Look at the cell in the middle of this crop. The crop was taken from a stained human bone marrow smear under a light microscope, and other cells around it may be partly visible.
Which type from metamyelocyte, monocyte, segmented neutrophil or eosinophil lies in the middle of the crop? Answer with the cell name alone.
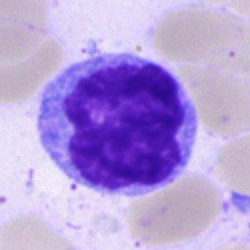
monocyte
